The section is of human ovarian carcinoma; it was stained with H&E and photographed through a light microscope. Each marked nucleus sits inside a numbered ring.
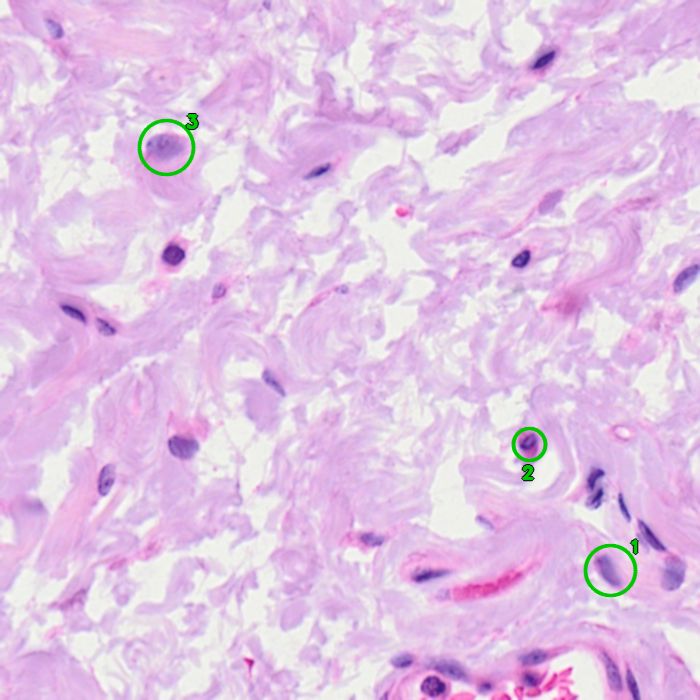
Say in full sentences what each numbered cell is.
Cell 1 is a fibroblast, cell 2 is a macrophage or monocyte and cell 3 is a fibroblast.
